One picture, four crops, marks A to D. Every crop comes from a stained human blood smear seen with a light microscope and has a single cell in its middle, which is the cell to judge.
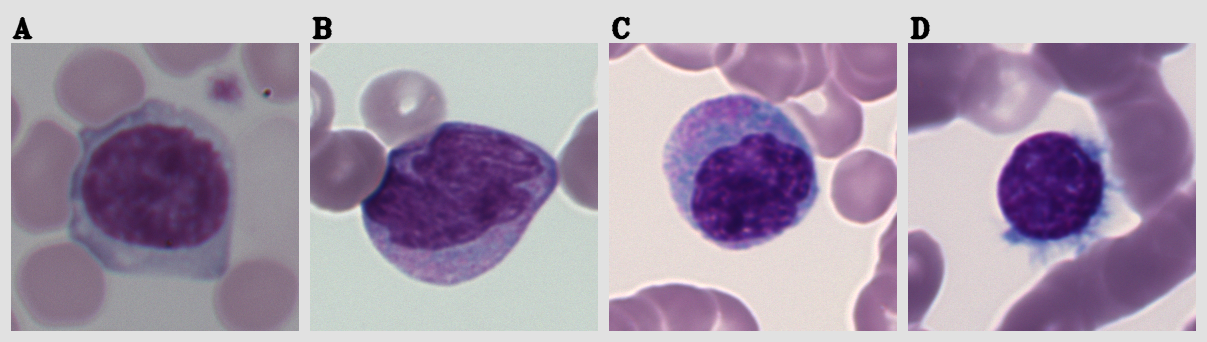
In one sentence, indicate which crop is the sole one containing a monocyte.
Crop C alone, of all the crops, shows a monocyte.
